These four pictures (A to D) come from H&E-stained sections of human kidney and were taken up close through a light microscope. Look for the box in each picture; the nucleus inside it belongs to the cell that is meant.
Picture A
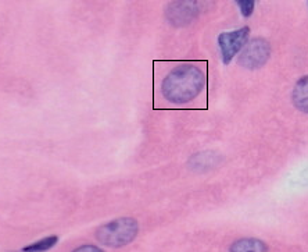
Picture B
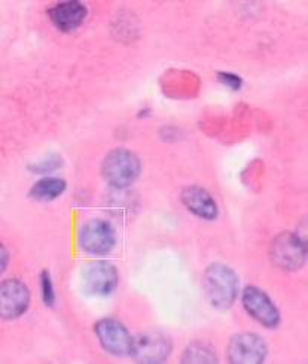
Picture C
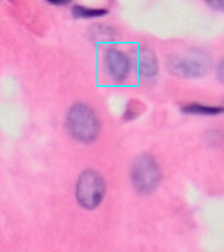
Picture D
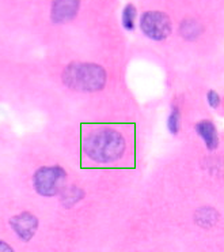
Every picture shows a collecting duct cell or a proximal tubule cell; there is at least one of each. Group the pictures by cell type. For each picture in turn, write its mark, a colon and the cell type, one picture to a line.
A: proximal tubule cell
B: collecting duct cell
C: collecting duct cell
D: proximal tubule cell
